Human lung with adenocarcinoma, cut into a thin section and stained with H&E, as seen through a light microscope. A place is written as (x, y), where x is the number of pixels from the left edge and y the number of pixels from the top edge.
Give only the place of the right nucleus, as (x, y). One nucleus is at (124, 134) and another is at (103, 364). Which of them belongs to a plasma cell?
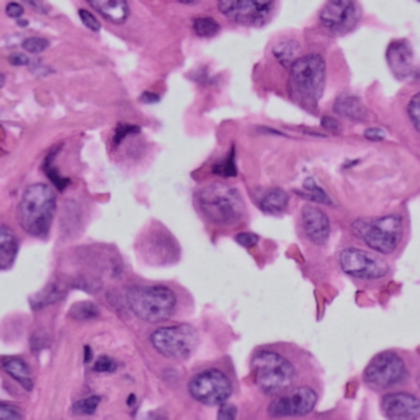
(103, 364)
